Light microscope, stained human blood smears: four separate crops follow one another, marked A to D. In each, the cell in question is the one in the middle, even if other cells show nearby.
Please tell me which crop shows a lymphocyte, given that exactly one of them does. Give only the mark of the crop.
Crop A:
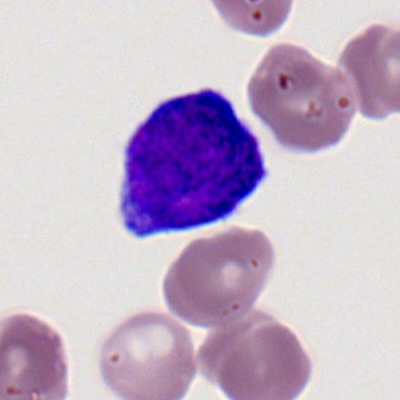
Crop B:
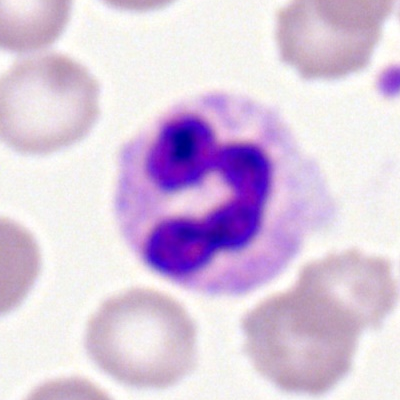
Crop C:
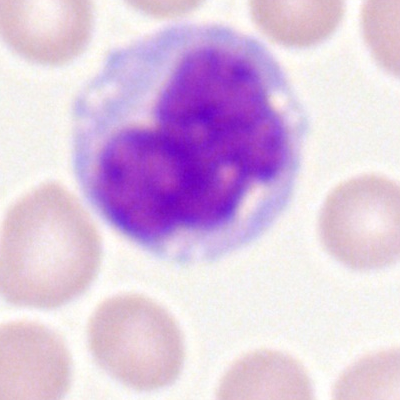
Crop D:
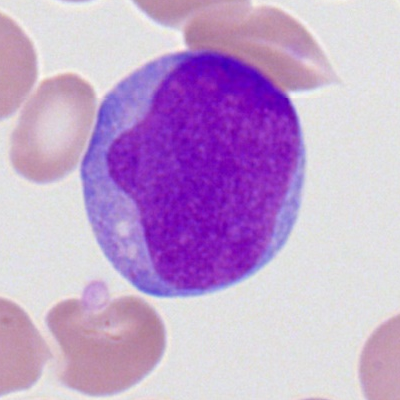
A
